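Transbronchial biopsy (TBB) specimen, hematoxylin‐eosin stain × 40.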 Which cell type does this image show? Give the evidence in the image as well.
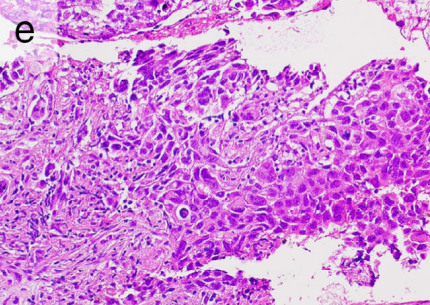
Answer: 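Sheets of large cells with enlarged, irregular dark nuclei. That points to this answer: tumor cells.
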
